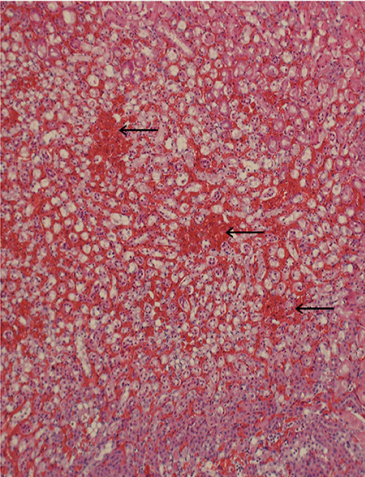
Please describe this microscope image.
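Low-power view of kidney with widespread tubular injury and congestion. Densely packed cross-sectioned tubules fill the field; many have pale, open or dilated lumina giving a sieve-like appearance. Bright red patches of packed blood lie between the tubules, most marked in the central region, and red tints much of the tissue.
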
